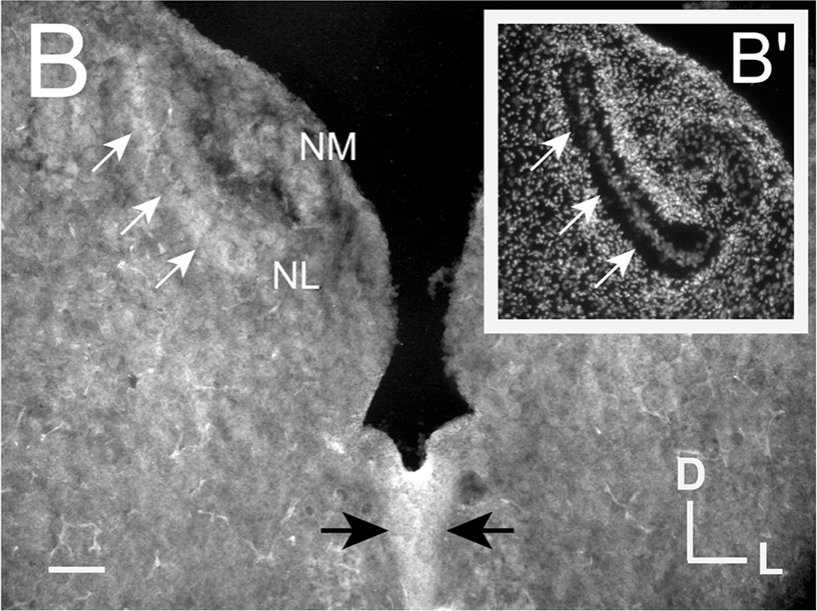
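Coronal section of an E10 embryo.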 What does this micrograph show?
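In the main image a diffuse bright label fills a curved band along the dorsolateral part of the tissue, and a strong bright vertical band lies at the midline just below the floor of the ventricle. Single cells cannot be told apart in the main image; the texture is granular with scattered thin bright branching lines. The inset shows densely packed bright nuclei with a distinct curved row of larger, more spaced nuclei bordered by a nucleus-poor zone, marking a laminar cell group and its neuropil. The labelled band in the main image follows that laminar cell group and its neuropil, and the midline is strongly labelled as well.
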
